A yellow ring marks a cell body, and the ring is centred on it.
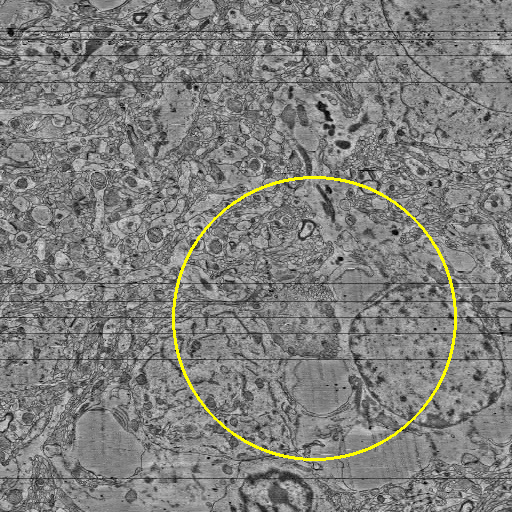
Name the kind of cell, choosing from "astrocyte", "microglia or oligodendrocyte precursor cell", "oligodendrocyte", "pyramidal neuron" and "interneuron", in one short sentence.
The marked cell body belongs to an oligodendrocyte.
